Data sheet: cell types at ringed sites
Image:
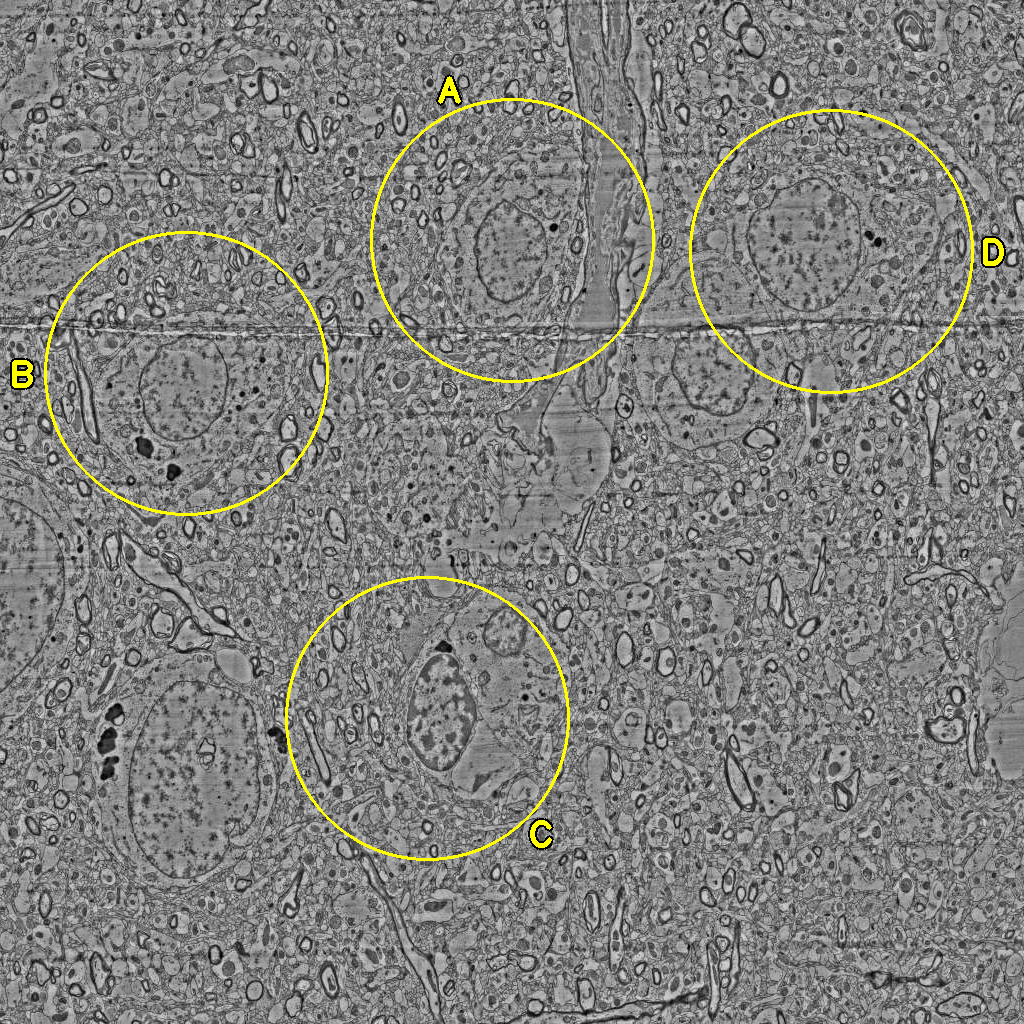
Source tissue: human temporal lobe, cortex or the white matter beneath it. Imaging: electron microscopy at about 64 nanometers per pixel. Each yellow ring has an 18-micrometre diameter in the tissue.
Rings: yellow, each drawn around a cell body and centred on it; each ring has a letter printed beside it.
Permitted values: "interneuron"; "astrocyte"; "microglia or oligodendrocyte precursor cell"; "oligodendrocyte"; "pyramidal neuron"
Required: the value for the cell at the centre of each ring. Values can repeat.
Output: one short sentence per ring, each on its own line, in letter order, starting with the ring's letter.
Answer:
Ring A has a pyramidal neuron at its centre.
Ring B has a pyramidal neuron at its centre.
Ring C has a microglial cell or oligodendrocyte precursor cell at its centre.
Ring D has a pyramidal neuron at its centre.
